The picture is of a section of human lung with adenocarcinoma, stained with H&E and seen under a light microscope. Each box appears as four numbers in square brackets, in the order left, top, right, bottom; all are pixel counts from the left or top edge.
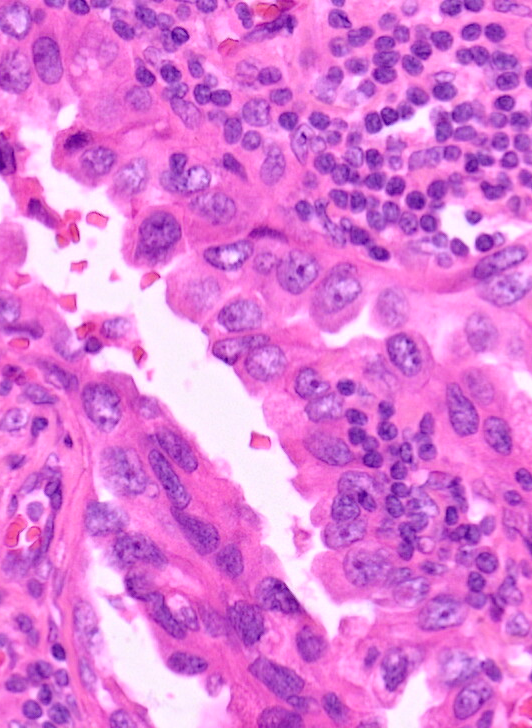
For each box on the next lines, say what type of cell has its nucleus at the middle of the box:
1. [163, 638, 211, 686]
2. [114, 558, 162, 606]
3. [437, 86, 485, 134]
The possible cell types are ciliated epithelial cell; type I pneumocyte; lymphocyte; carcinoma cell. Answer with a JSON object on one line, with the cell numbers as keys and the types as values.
{"1": "carcinoma cell", "2": "carcinoma cell", "3": "lymphocyte"}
